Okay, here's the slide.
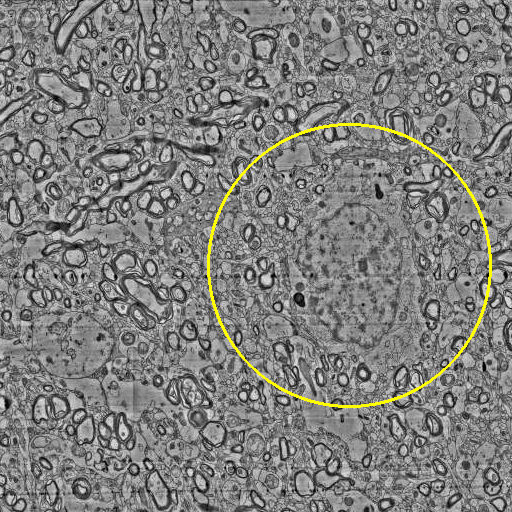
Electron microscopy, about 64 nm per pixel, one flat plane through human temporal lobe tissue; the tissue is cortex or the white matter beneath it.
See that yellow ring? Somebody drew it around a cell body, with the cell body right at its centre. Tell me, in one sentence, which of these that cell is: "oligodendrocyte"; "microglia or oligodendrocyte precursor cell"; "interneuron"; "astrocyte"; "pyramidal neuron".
The cell in the middle of the ring is an interneuron.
